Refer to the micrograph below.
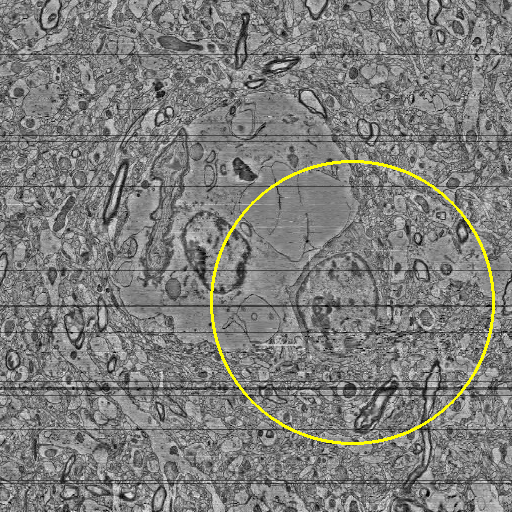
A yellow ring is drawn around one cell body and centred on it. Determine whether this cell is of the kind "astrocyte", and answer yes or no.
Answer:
no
